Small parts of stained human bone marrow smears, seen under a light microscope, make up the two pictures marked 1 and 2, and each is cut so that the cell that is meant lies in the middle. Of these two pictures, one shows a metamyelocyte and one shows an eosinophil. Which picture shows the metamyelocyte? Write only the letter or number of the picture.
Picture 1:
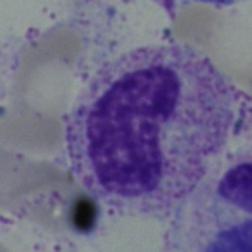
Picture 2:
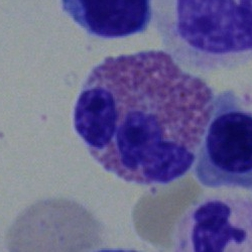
1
